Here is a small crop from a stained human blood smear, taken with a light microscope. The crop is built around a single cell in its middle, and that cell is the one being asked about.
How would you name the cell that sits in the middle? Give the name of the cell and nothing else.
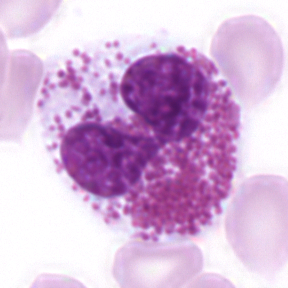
eosinophil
